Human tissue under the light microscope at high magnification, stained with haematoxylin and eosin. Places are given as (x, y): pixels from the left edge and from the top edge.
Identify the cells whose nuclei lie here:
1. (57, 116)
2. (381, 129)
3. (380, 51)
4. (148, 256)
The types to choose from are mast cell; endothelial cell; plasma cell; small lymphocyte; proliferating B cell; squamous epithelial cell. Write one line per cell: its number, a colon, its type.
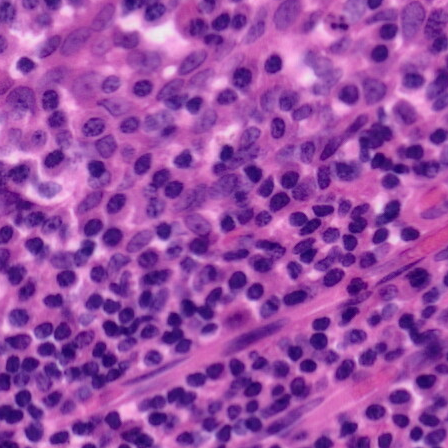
1: plasma cell
2: squamous epithelial cell
3: plasma cell
4: plasma cell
